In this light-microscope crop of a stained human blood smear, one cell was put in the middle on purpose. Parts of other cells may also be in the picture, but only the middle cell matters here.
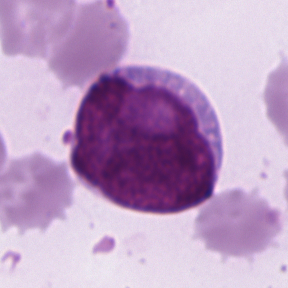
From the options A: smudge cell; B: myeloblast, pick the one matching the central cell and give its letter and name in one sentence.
Given that the cell in the middle is a myeloblast, option B is correct.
